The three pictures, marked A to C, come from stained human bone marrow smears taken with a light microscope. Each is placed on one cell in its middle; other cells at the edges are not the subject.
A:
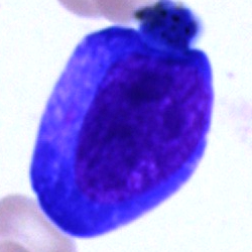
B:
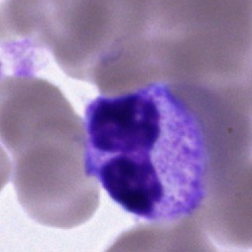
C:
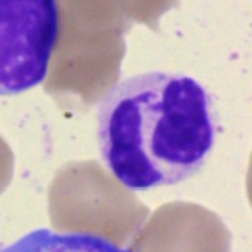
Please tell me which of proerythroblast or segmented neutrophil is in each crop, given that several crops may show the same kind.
A: proerythroblast
B: segmented neutrophil
C: segmented neutrophil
